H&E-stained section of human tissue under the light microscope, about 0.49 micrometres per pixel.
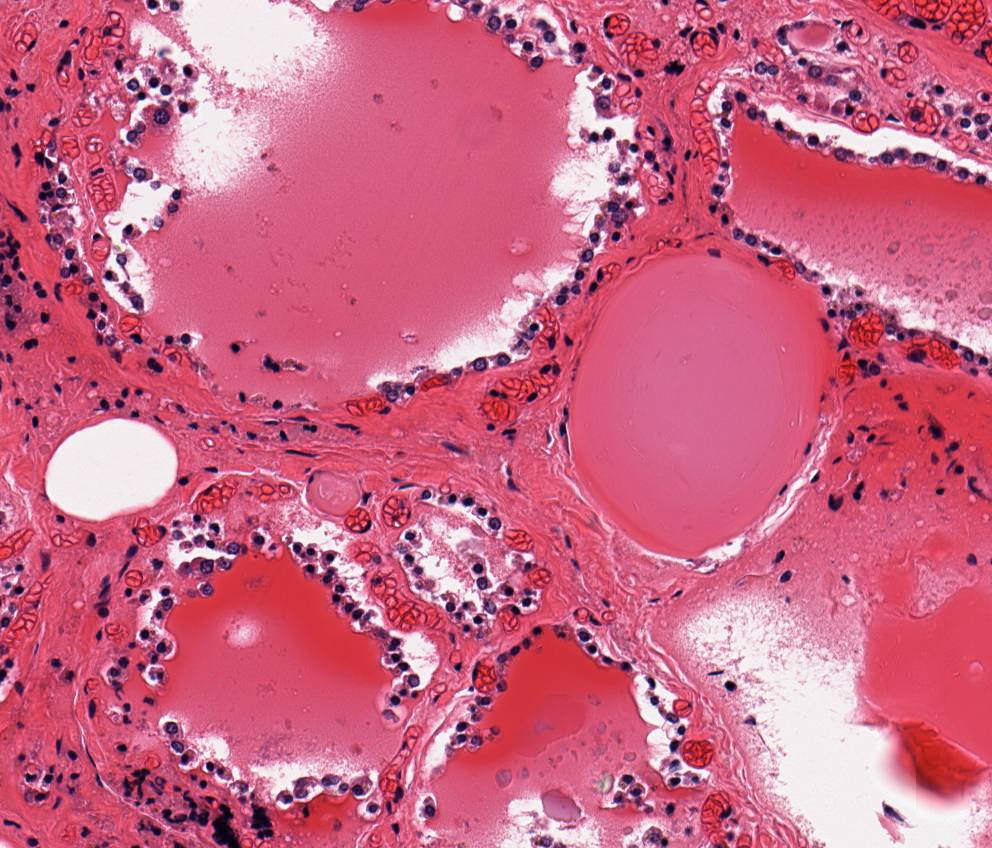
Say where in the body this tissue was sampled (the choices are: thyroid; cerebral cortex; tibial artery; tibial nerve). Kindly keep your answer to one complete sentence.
From the thyroid was taken the tissue in this section.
